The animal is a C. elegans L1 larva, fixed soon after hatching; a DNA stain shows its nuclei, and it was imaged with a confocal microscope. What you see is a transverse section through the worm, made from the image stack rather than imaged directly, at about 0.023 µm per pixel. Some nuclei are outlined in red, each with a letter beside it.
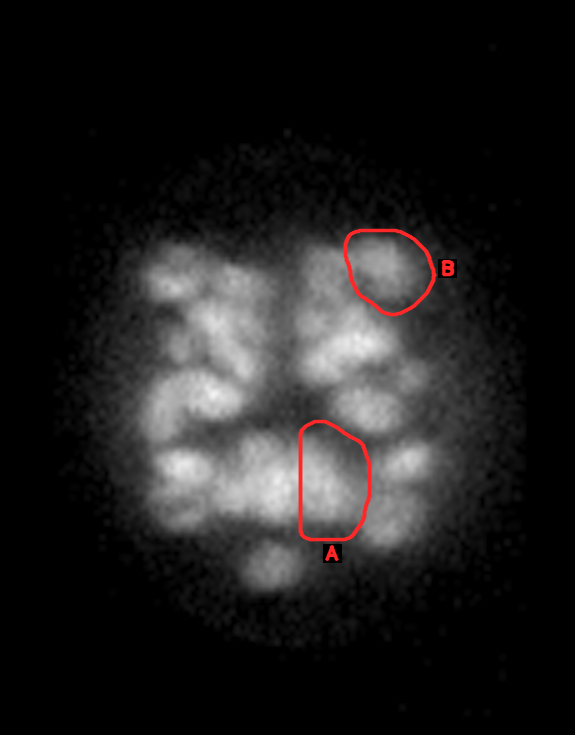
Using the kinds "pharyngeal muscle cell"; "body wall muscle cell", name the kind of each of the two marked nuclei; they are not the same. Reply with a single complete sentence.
A is in a pharyngeal muscle cell and B is in a body wall muscle cell.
